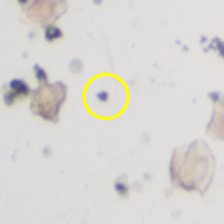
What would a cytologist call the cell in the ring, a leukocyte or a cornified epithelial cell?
A cytologist would call it a leukocyte.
